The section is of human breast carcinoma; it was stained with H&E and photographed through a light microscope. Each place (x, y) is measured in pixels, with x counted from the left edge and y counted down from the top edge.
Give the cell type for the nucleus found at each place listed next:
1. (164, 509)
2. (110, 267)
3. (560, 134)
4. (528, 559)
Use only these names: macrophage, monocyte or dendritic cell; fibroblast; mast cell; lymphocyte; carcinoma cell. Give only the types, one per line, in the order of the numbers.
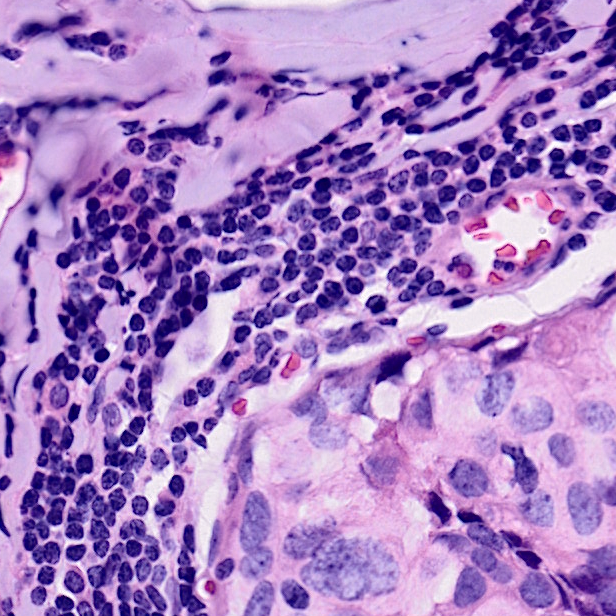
lymphocyte
lymphocyte
lymphocyte
carcinoma cell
